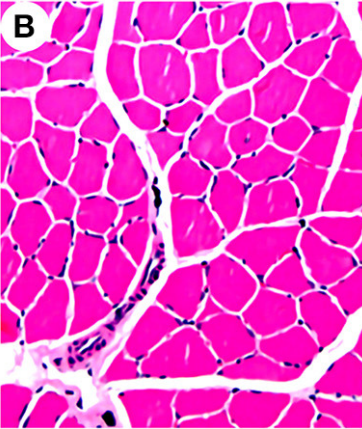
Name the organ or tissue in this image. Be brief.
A: muscle fibers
